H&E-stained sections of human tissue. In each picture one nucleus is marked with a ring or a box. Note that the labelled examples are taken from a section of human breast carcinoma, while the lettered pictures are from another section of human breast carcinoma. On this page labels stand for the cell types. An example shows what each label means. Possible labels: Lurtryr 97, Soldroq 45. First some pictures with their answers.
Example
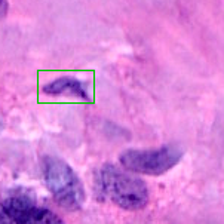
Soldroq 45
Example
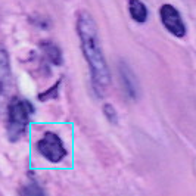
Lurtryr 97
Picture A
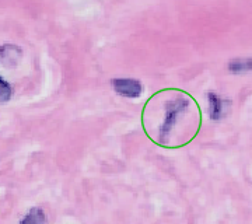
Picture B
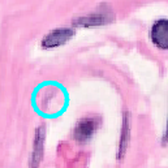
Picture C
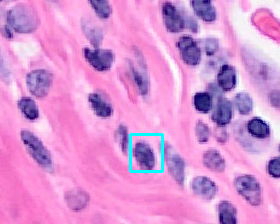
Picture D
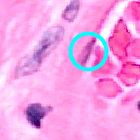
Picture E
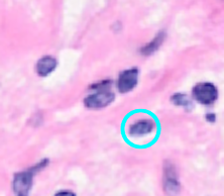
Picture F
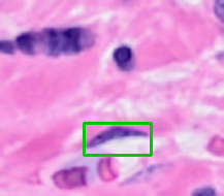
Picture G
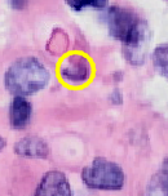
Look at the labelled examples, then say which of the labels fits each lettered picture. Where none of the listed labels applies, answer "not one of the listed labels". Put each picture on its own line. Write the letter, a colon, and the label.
A: Soldroq 45
B: not one of the listed labels
C: Lurtryr 97
D: not one of the listed labels
E: Lurtryr 97
F: not one of the listed labels
G: not one of the listed labels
